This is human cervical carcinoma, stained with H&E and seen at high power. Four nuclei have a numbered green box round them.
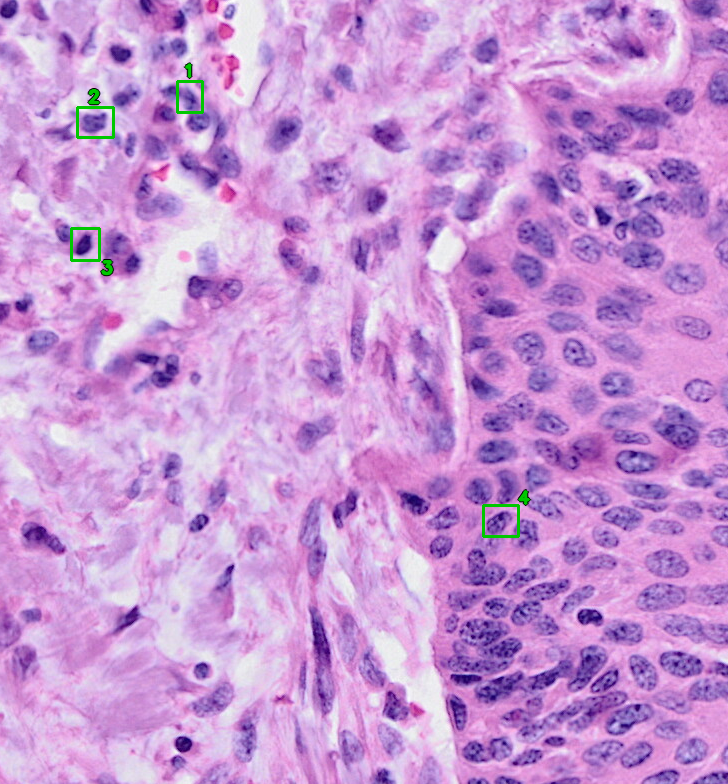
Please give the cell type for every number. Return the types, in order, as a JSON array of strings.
["lymphocyte", "lymphocyte", "lymphocyte", "squamous carcinoma cell"]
